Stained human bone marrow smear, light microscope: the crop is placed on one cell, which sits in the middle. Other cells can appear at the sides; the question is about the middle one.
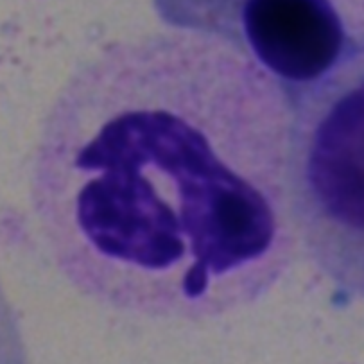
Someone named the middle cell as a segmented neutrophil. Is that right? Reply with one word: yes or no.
yes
